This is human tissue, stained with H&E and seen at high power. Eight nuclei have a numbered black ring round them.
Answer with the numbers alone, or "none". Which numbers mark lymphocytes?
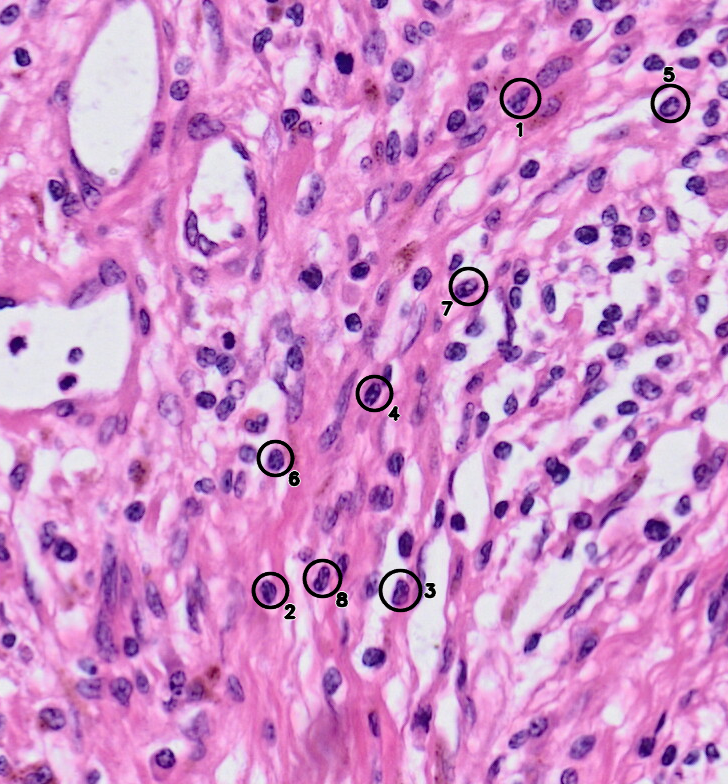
1, 2, 3, 6, 8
